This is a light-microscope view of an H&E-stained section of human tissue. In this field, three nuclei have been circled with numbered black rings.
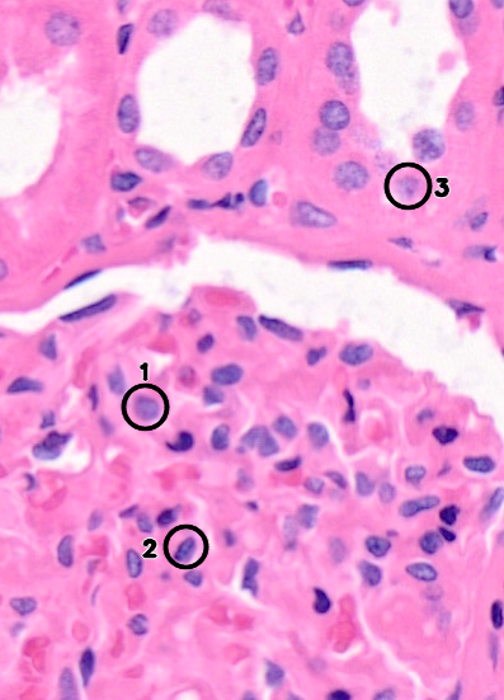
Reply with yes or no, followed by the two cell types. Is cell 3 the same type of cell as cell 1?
No, here cell 3 is a loop of Henle or distal tubule cell, whereas cell 1 is an endothelial cell.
